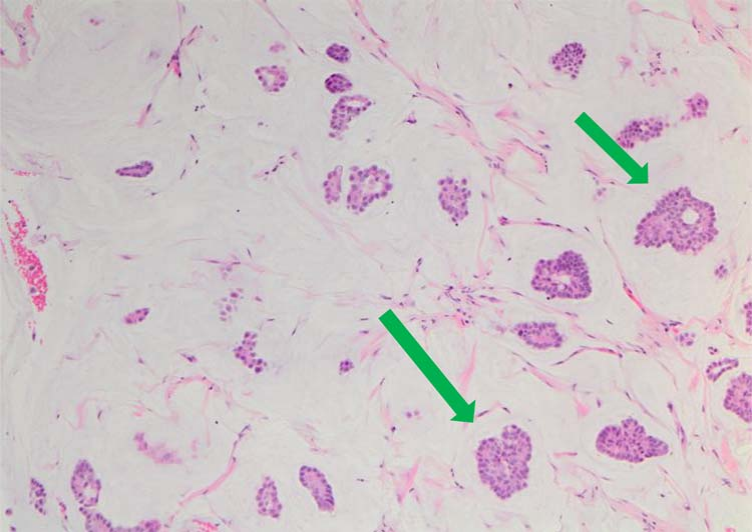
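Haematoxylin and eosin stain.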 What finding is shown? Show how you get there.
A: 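Pools of extra-cellular mucin. Most of the field is pale grey-blue, nearly acellular material. Thin pink fibrous strands divide the pale material into lobules. Cell clusters sit suspended within the pale material.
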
